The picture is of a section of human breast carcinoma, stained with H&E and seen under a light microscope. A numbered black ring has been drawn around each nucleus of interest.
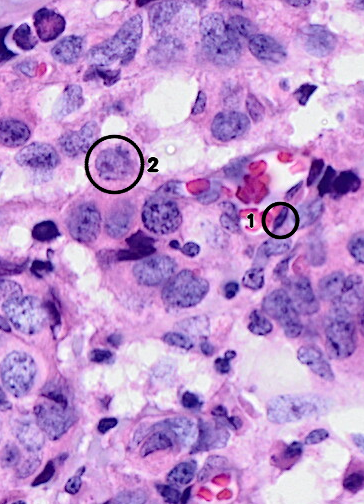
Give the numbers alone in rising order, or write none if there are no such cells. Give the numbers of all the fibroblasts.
none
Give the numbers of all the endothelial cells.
1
